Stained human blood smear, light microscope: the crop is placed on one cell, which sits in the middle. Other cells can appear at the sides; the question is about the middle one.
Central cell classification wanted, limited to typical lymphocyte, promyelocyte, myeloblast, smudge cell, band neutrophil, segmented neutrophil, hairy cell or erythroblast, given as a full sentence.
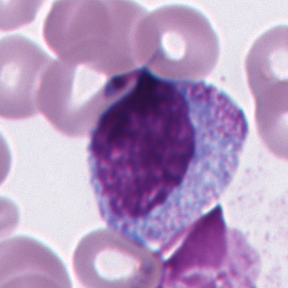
Occupying the centre of the crop is a promyelocyte.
